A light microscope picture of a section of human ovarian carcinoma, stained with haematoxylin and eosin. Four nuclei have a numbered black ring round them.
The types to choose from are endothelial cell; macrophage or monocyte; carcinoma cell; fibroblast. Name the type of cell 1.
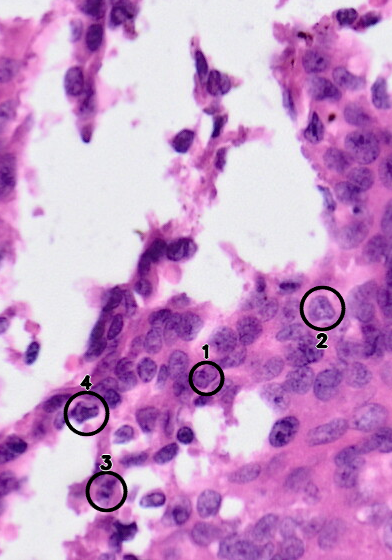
carcinoma cell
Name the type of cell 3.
macrophage or monocyte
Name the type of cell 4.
carcinoma cell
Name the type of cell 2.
macrophage or monocyte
